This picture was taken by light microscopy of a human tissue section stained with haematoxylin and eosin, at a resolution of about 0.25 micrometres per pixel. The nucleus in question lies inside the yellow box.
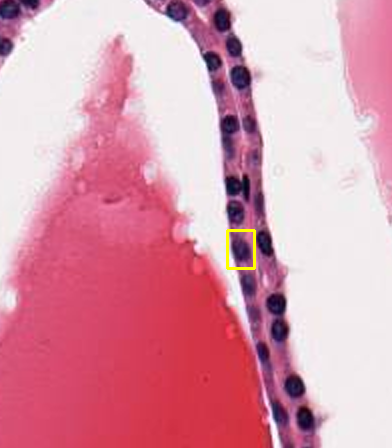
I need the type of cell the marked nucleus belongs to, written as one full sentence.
Here the marked nucleus is part of a thyroid follicular cell.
